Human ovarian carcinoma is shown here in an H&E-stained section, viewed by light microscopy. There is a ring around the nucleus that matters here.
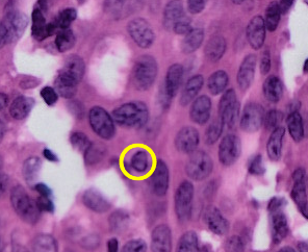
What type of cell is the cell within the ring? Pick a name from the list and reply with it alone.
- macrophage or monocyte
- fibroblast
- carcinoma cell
macrophage or monocyte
